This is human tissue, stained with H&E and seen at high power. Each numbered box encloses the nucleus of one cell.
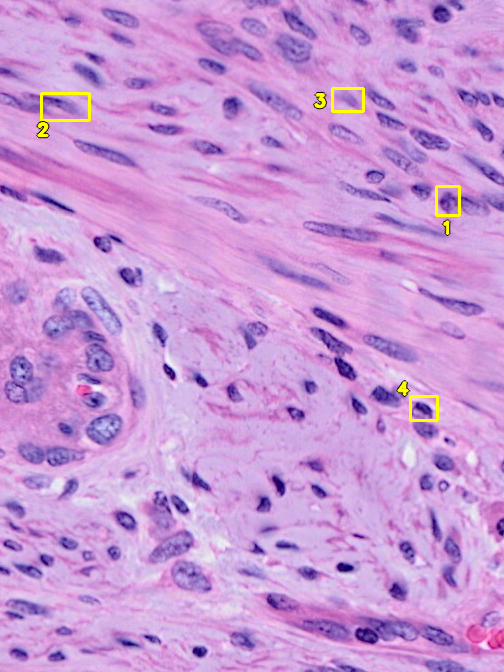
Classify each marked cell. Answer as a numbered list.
1. smooth muscle cell
2. smooth muscle cell
3. smooth muscle cell
4. lymphocyte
